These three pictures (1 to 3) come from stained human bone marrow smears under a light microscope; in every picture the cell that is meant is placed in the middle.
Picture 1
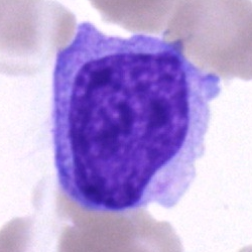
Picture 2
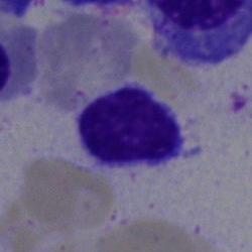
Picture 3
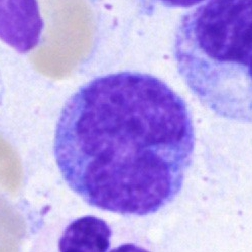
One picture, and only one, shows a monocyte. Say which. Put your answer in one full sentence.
The monocyte is the one in picture 3.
